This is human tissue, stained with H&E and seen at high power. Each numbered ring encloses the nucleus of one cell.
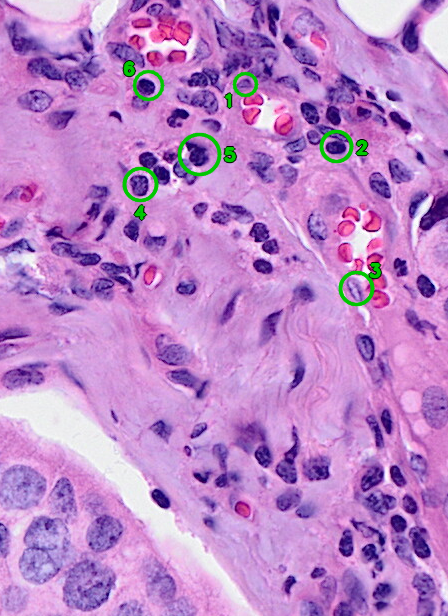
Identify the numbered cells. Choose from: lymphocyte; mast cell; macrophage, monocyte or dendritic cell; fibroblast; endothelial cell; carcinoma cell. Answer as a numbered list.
1. endothelial cell
2. lymphocyte
3. endothelial cell
4. lymphocyte
5. lymphocyte
6. lymphocyte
